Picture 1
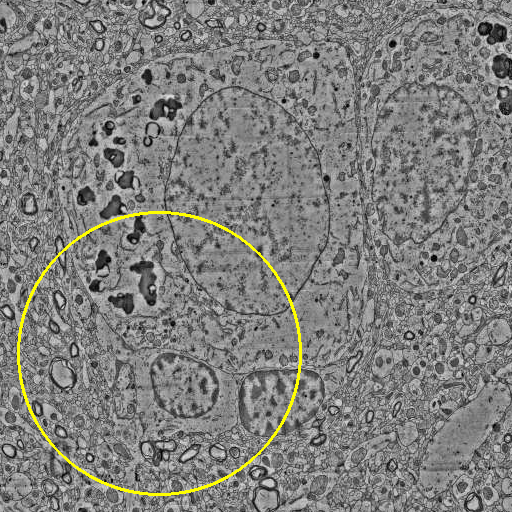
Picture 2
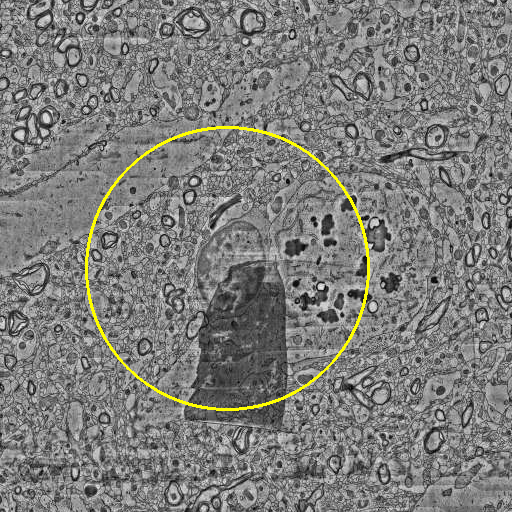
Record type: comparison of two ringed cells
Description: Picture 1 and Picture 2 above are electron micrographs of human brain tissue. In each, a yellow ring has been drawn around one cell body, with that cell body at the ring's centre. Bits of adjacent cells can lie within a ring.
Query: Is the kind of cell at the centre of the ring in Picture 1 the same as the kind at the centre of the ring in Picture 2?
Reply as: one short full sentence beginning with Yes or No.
No, the two ringed cells are of two separate kinds.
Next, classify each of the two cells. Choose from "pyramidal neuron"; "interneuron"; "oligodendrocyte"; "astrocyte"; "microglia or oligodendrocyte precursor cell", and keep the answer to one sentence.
In the first picture it is a microglial cell or oligodendrocyte precursor cell; in the second it is an oligodendrocyte.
